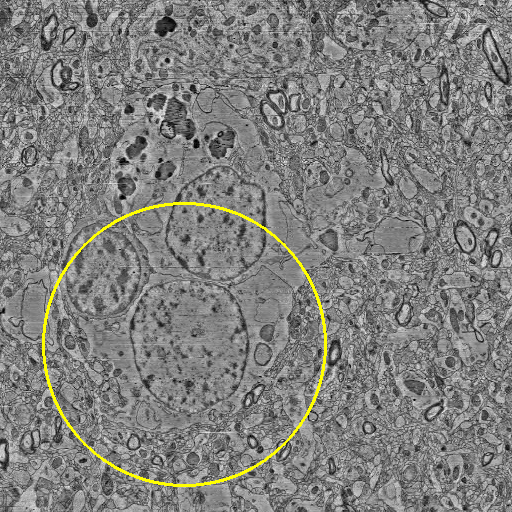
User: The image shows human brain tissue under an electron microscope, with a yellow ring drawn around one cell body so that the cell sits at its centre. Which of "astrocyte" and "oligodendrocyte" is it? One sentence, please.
At the centre of the ring sits an astrocyte.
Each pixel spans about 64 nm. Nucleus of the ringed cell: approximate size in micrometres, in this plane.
Roughly 9 by 8 micrometres in this plane, for the nucleus of the ringed cell.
